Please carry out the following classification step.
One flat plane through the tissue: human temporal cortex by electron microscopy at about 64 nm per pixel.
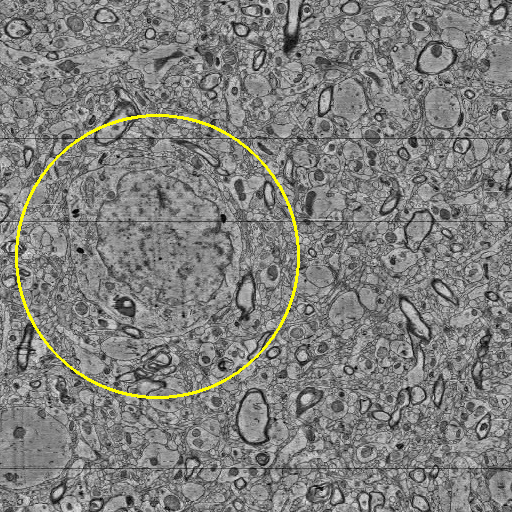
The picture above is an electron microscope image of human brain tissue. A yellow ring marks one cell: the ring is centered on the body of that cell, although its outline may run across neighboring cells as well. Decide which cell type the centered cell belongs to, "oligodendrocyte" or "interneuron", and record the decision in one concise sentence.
The cell centered in the yellow ring is an interneuron.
